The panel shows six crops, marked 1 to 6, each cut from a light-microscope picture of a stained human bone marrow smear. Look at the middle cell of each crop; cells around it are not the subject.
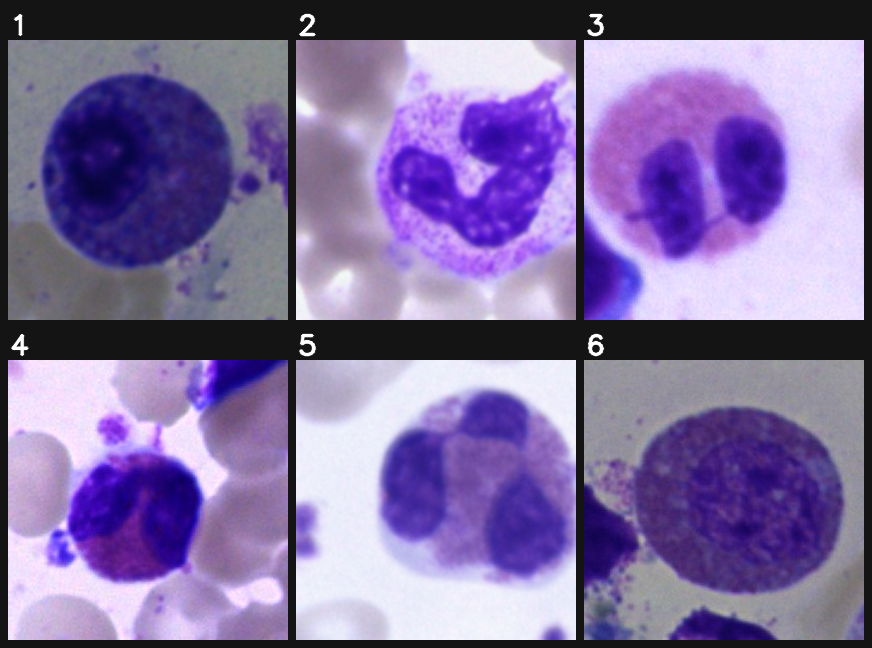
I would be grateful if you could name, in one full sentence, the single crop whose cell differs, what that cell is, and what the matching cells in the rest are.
The pattern of eosinophils across the crops is broken only by crop 2, which shows a band neutrophil.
